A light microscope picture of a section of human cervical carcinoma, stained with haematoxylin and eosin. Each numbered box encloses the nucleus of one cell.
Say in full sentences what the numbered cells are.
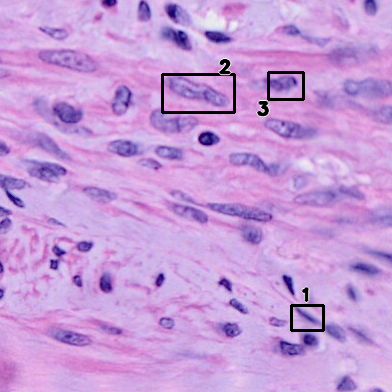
Cell 1 is a fibroblast. Cells 2 and 3 are smooth muscle cells.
